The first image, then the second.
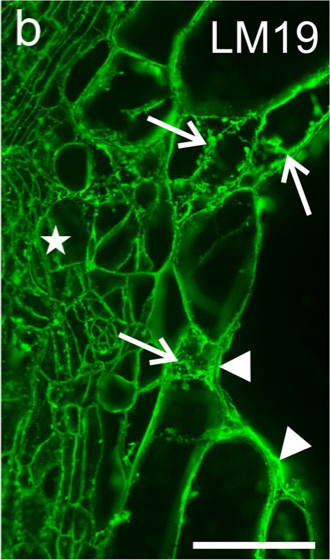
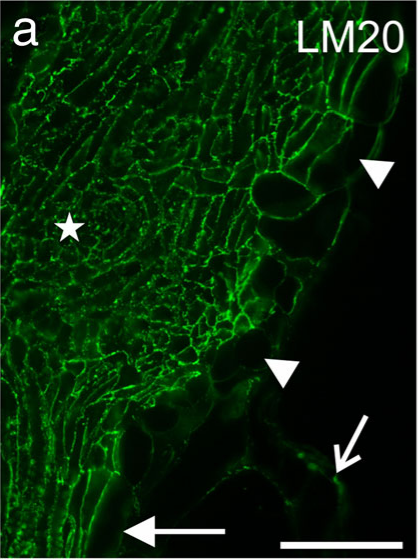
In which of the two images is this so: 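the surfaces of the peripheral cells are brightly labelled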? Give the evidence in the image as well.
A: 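First image: the large peripheral cells at the arrowheads have bright green, fibrillar outlines. Second image: the peripheral cells at the arrowheads are dim with faint outlines.
Hence: the first image.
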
